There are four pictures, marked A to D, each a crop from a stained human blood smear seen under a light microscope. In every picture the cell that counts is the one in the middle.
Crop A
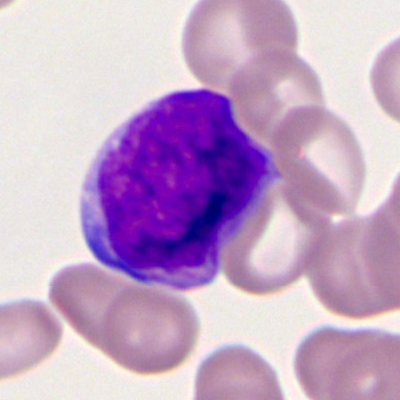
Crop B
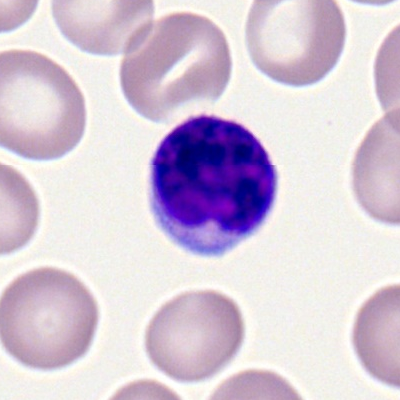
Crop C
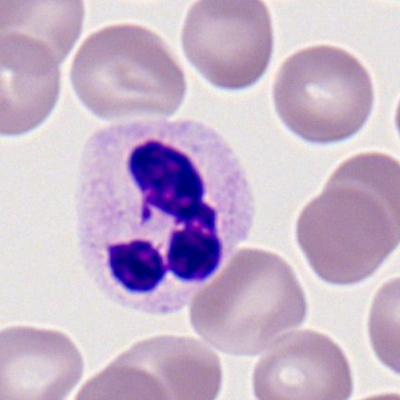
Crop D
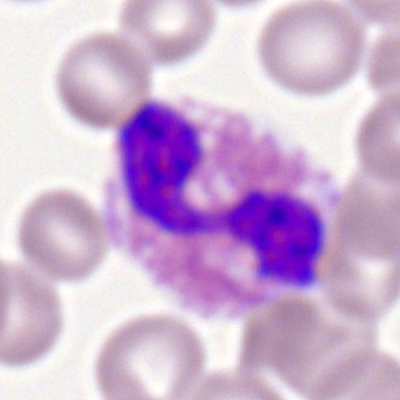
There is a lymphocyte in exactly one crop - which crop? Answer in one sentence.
Crop B is the crop that shows a lymphocyte in its middle.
